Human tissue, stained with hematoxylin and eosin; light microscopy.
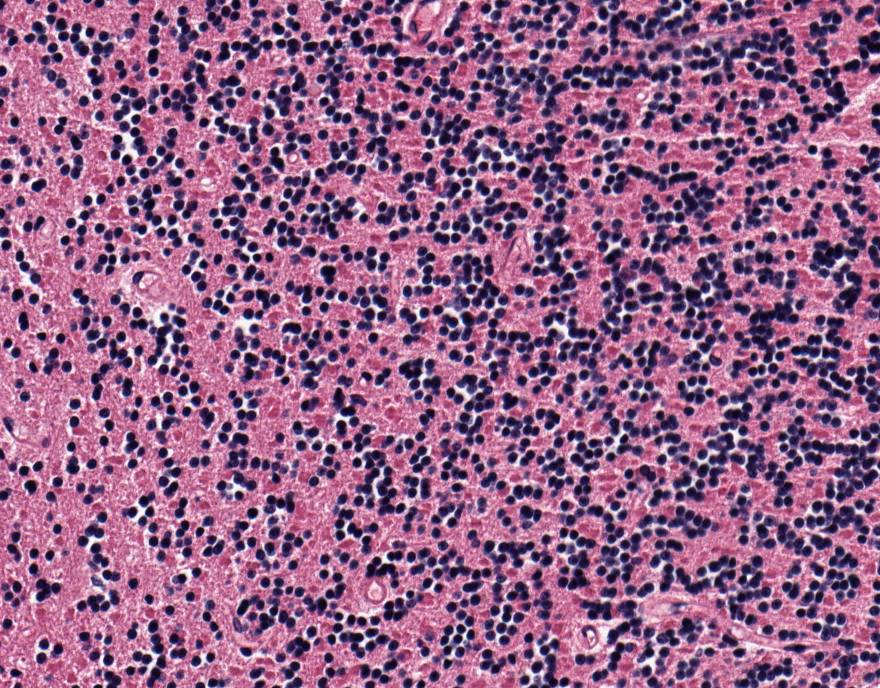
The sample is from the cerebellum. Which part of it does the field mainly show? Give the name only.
granular layer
